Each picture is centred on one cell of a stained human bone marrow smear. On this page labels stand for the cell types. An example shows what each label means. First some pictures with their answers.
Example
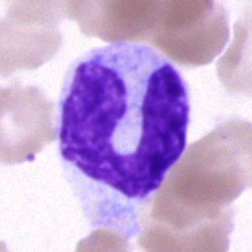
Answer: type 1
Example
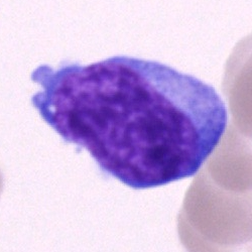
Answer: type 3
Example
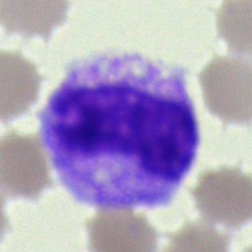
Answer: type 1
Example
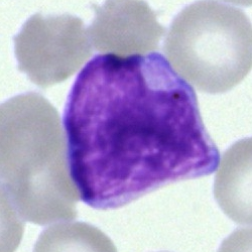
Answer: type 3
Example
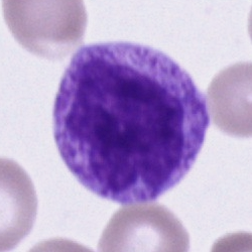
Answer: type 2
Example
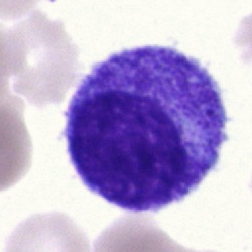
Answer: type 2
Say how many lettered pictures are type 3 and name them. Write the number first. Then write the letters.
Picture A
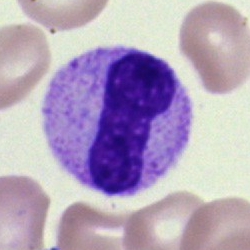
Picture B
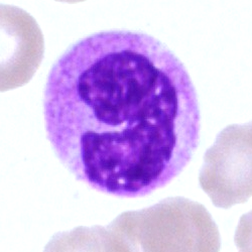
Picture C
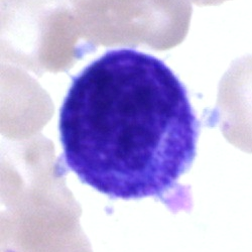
0, none of them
